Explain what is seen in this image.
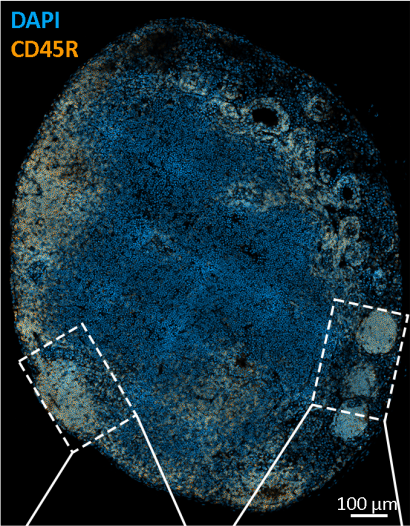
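This is a whole lymph node section in which the blue nuclei fill the node and orange-rimmed B cells gather in two kinds of place. Along the outer edge lie broad, densely packed clusters forming follicles, while at the lower right a few small, perfectly round, sharply bounded orange nodules sit apart from them in the medullary region. The central part of the node is mostly blue, with little orange.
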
